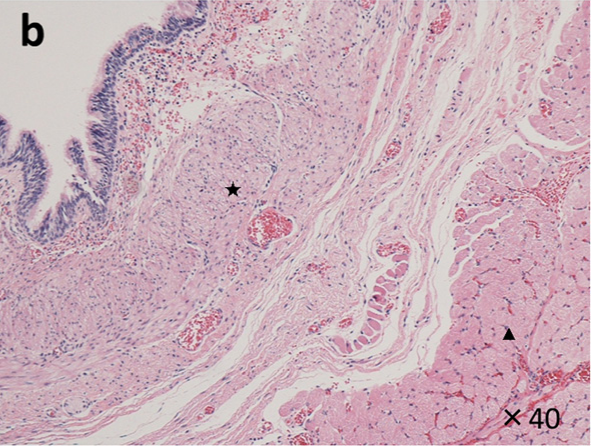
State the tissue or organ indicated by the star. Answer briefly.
Smooth muscle.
